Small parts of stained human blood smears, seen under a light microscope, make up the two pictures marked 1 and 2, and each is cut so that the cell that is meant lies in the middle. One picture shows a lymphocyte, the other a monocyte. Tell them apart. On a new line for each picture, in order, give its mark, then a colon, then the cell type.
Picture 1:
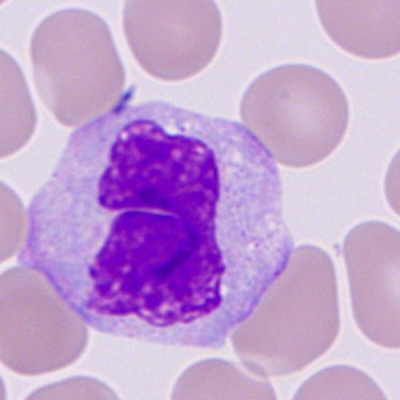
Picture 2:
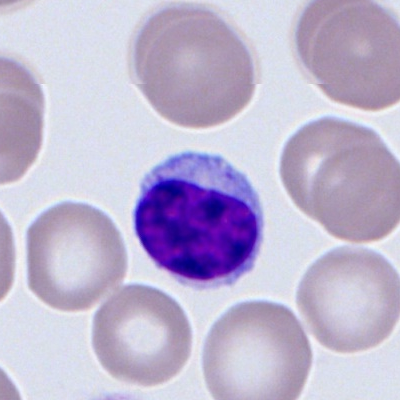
1: monocyte
2: lymphocyte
